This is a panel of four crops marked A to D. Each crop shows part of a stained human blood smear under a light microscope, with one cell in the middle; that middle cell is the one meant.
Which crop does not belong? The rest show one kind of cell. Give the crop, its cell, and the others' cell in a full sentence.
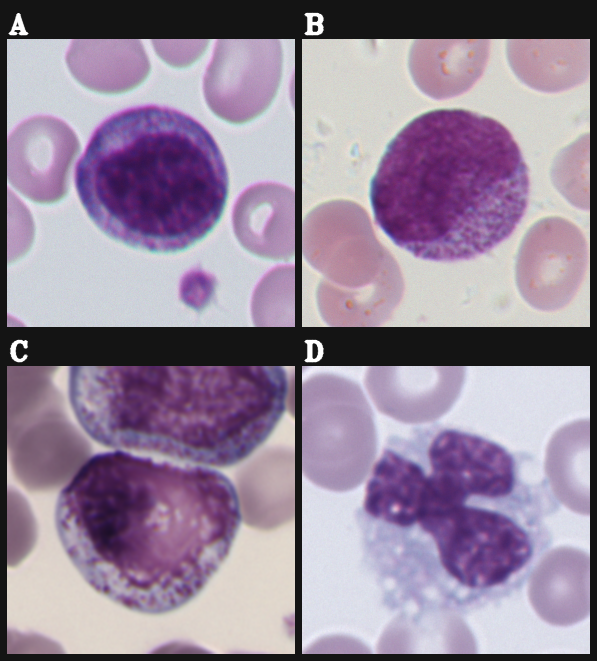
The different crop is D; it is a monocyte, and the others all show myelocytes.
